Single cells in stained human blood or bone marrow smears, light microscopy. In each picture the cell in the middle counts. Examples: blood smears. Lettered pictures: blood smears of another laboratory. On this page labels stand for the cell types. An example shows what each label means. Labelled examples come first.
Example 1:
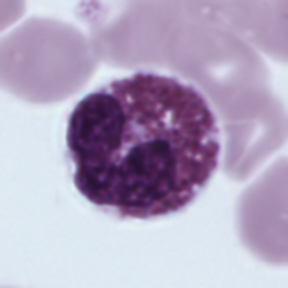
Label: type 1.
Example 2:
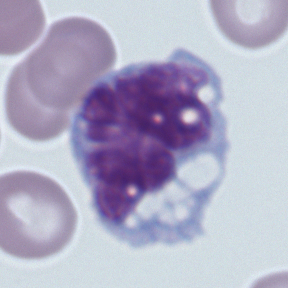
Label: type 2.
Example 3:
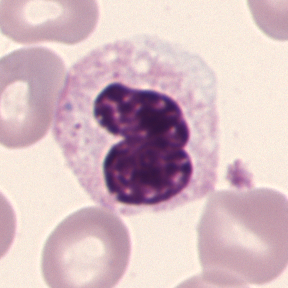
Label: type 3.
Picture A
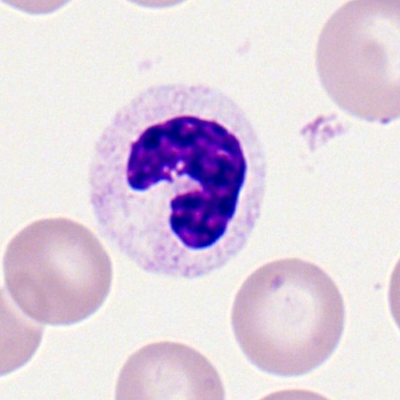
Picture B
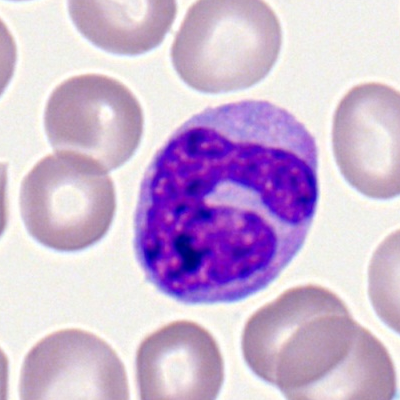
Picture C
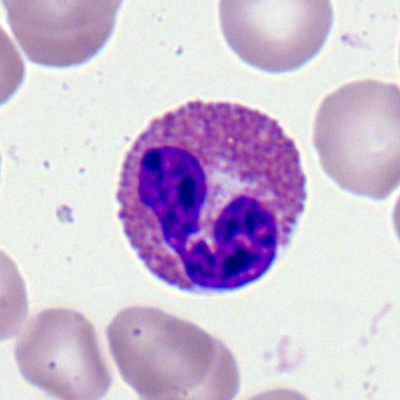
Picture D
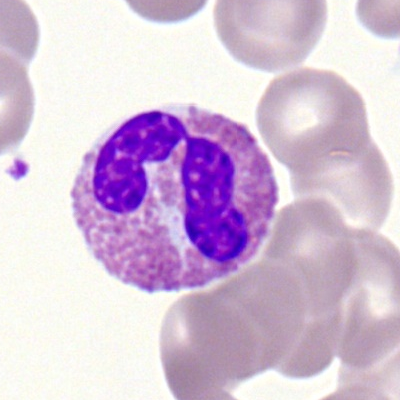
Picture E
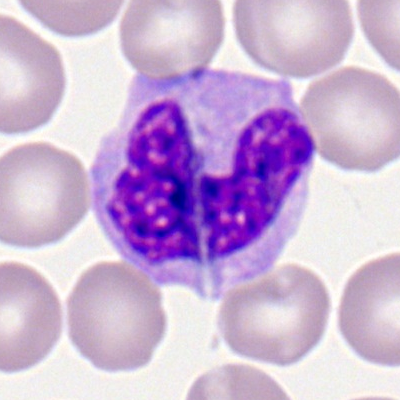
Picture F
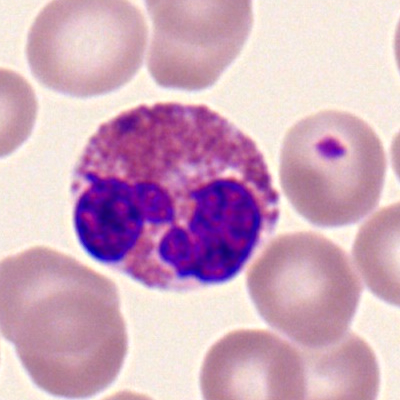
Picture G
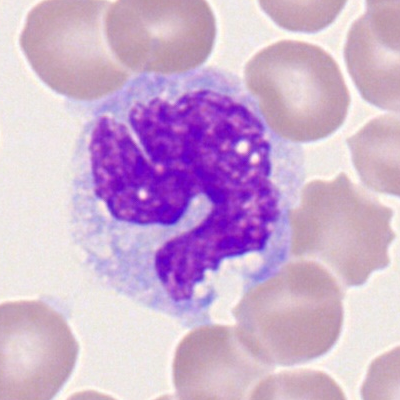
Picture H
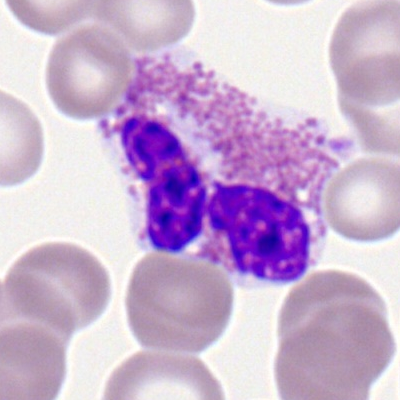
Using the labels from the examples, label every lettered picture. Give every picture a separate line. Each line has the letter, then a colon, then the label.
A: type 3.
B: type 2.
C: type 1.
D: type 1.
E: type 2.
F: type 1.
G: type 2.
H: type 1.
